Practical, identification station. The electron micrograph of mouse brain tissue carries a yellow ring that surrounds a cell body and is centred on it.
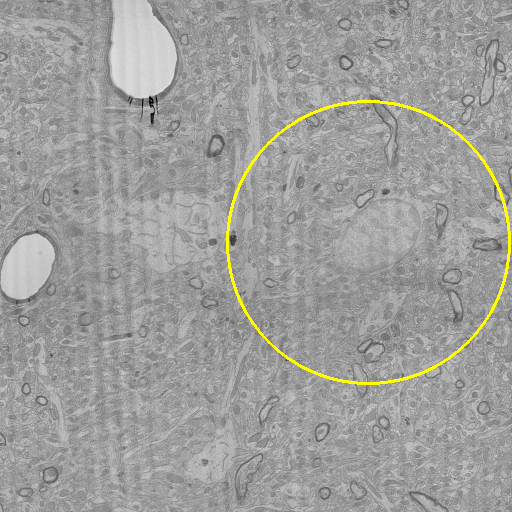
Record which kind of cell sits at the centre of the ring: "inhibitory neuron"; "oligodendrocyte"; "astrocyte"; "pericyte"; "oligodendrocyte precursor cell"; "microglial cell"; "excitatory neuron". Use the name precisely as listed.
oligodendrocyte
